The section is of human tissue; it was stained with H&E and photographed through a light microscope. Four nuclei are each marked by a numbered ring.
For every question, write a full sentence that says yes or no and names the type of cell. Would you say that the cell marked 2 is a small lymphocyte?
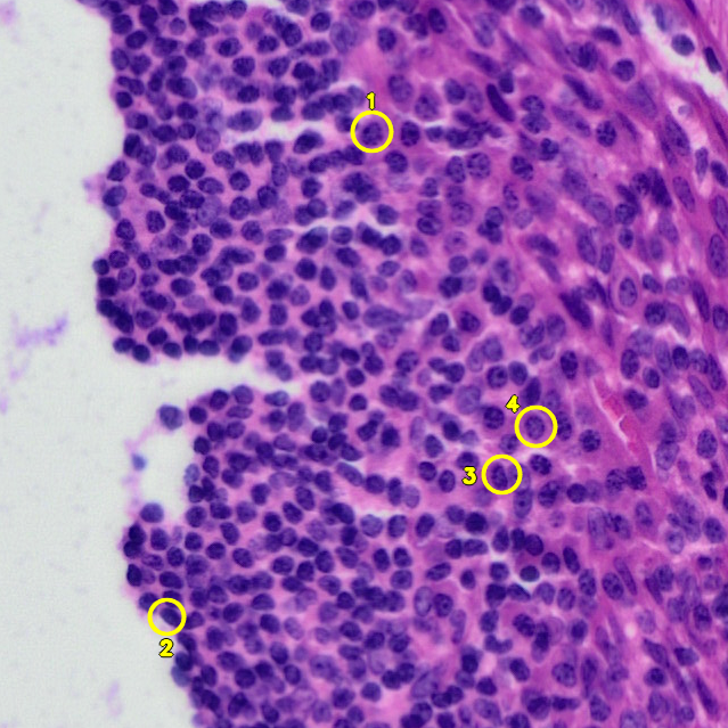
Yes, for number 2, the cell is a small lymphocyte.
